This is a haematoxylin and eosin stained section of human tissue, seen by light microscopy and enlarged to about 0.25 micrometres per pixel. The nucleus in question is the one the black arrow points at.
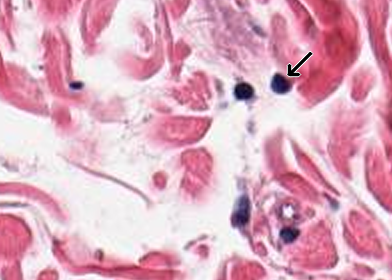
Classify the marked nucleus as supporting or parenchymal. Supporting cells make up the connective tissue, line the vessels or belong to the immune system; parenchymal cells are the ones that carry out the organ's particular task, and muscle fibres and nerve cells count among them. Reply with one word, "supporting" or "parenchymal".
supporting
